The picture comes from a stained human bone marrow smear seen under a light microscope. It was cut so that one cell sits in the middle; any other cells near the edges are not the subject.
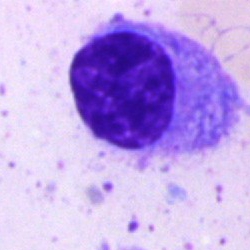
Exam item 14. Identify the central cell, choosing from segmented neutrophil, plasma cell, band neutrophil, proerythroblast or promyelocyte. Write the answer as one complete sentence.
Classified as a plasma cell is the cell in the middle of this crop.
